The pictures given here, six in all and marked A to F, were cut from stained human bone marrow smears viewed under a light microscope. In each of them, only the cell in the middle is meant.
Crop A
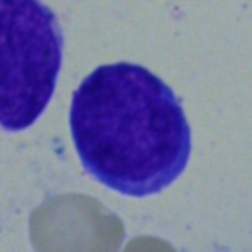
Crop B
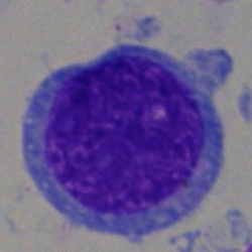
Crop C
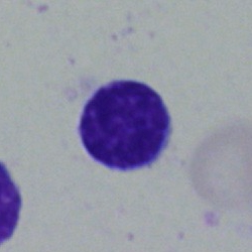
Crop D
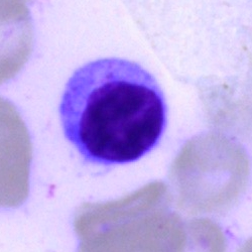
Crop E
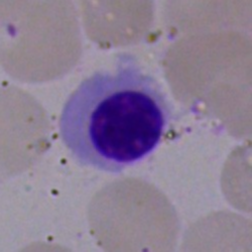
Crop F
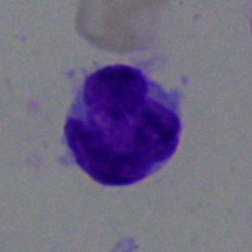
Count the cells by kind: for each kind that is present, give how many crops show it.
lymphocyte: 3
blast: 2
erythroblast: 1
